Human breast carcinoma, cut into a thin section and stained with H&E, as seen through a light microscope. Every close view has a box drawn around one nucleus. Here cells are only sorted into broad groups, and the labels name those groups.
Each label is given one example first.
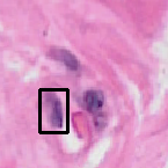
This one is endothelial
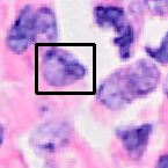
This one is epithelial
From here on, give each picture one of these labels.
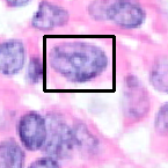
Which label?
epithelial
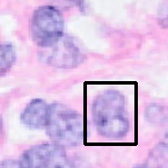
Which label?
epithelial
